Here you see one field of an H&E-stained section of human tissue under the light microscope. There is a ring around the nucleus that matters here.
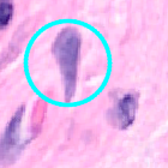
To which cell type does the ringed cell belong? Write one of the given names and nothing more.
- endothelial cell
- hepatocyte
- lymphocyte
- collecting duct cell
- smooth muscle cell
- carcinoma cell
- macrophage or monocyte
endothelial cell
